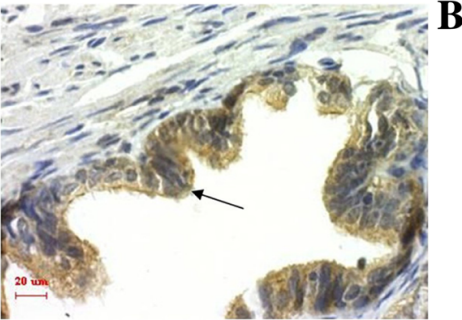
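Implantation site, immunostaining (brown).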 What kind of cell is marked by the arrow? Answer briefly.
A: Epithelial cells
